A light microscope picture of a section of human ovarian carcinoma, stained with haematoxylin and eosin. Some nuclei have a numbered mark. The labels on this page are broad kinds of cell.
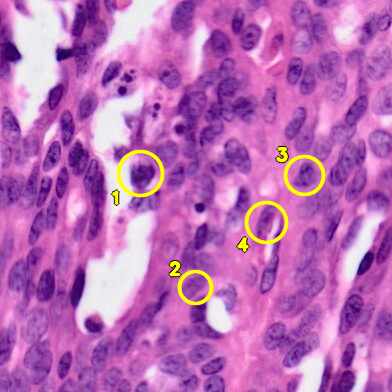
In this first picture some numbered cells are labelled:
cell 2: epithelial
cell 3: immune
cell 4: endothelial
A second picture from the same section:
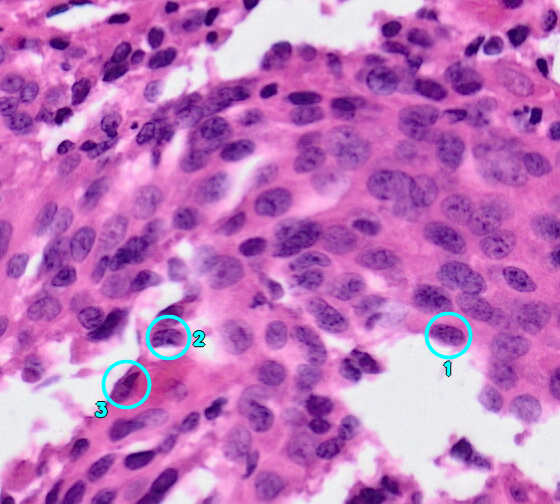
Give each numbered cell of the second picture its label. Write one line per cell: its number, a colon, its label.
1: epithelial
2: immune
3: endothelial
